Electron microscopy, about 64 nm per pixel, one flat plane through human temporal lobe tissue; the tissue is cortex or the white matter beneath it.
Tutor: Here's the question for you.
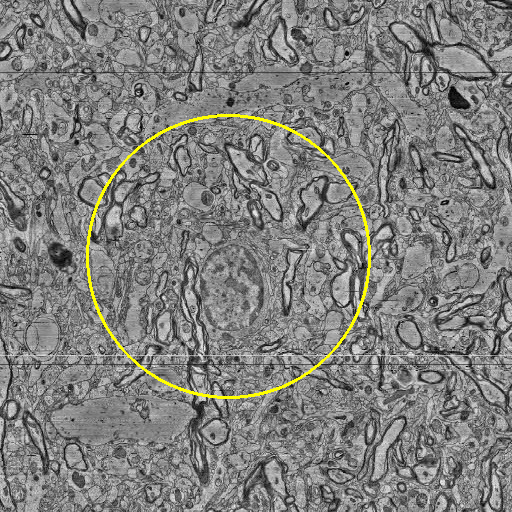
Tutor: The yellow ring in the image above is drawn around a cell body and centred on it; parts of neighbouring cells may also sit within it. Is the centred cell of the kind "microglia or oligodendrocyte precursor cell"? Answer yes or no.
no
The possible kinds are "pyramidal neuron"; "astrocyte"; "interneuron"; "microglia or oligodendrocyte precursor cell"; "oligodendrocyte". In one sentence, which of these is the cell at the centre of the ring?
The cell marked by the ring is an oligodendrocyte.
